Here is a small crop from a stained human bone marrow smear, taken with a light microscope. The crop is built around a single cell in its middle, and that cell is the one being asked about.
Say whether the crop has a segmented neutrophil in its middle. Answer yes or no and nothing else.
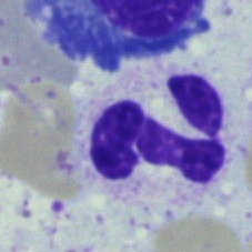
yes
